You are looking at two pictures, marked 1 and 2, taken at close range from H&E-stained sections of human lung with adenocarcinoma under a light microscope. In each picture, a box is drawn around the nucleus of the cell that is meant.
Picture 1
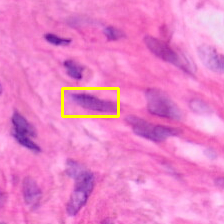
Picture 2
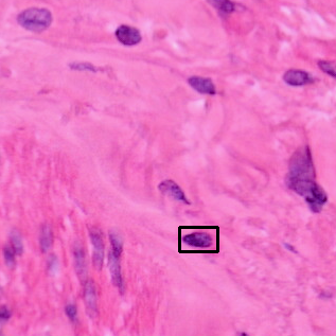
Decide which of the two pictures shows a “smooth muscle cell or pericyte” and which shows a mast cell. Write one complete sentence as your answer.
It is picture 1 that shows a “smooth muscle cell or pericyte”, and picture 2 that shows a mast cell.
